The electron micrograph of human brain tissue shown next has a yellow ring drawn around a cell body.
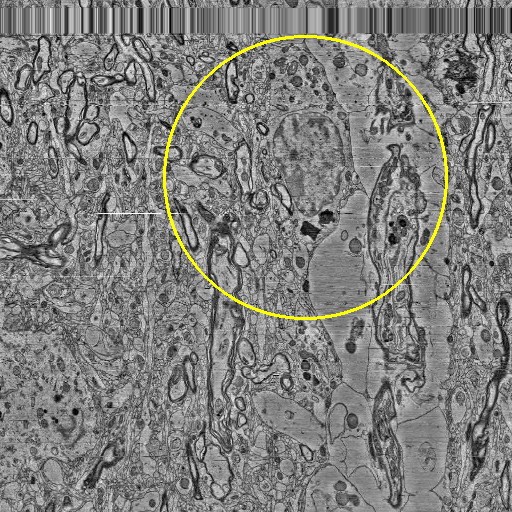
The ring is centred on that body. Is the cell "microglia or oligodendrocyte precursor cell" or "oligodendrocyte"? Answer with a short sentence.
The cell in question is an oligodendrocyte.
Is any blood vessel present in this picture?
Yes.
